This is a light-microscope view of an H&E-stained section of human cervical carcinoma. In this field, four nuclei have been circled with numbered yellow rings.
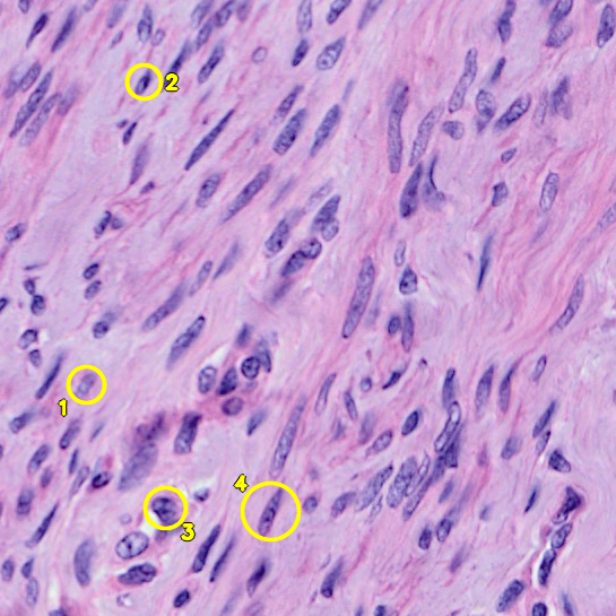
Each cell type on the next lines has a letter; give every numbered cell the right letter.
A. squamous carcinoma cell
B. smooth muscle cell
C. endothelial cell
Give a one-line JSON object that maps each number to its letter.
{"1": "B", "2": "B", "3": "C", "4": "B"}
